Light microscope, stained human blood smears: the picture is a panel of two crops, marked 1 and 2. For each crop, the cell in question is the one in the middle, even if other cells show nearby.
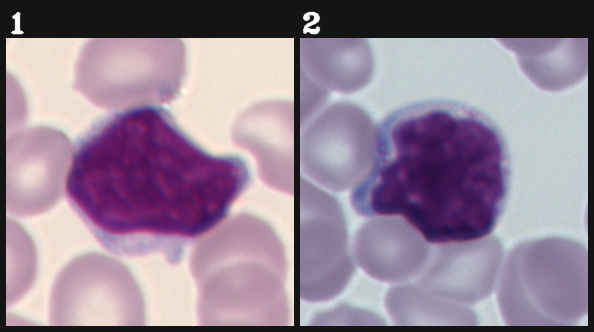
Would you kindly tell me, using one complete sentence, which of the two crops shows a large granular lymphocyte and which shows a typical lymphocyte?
Crop 1 is a typical lymphocyte; crop 2, on the other hand, is a large granular lymphocyte.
